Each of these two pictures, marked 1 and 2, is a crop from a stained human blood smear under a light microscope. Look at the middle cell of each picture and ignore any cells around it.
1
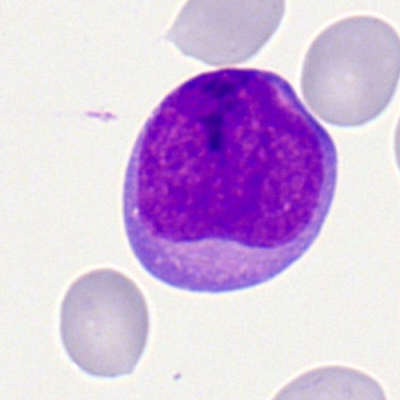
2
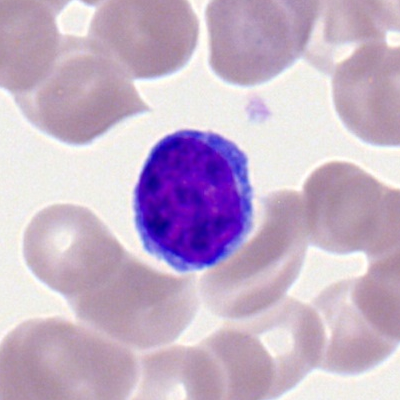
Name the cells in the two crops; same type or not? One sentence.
No, crop 1 captures a blast; meanwhile crop 2 captures a lymphocyte.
